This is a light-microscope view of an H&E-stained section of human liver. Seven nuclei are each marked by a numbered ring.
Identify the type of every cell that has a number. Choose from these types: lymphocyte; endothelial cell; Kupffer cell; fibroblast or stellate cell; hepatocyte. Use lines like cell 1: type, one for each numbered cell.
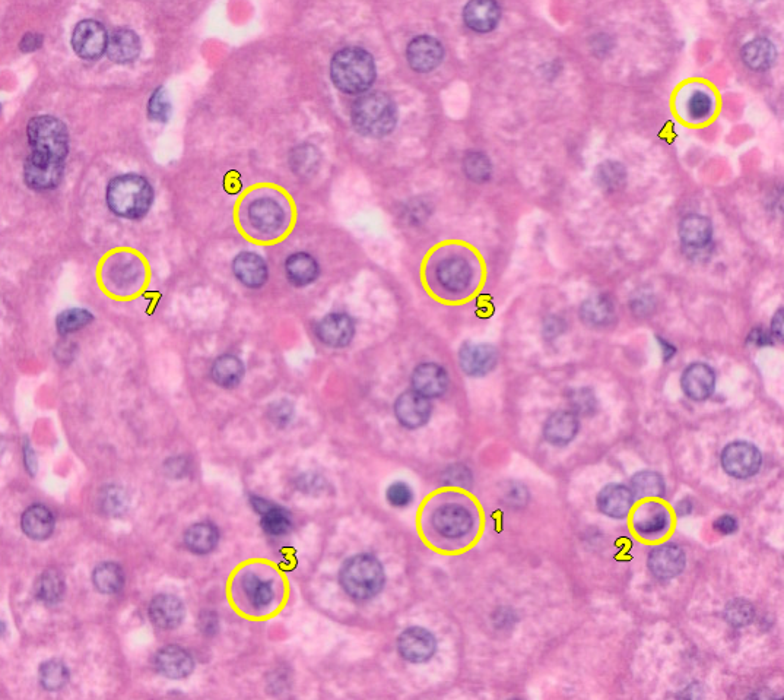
cell 1: hepatocyte
cell 2: fibroblast or stellate cell
cell 3: endothelial cell
cell 4: lymphocyte
cell 5: hepatocyte
cell 6: hepatocyte
cell 7: hepatocyte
